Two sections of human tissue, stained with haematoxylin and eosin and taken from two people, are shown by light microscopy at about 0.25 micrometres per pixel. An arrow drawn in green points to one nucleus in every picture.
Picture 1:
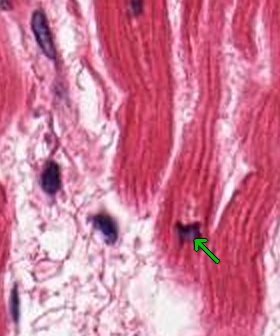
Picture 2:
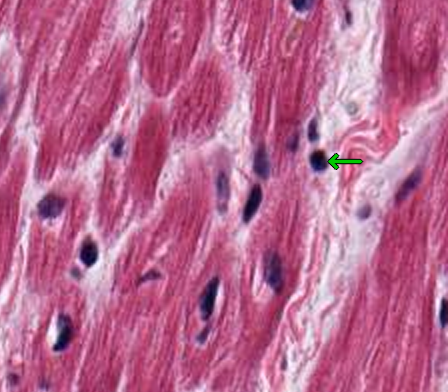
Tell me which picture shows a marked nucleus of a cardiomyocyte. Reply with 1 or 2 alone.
1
